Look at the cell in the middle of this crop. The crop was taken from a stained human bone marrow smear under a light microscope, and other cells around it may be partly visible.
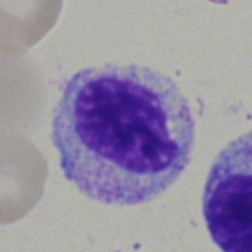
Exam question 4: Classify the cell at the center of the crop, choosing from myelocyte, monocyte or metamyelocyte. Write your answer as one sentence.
At the crop's centre, the cell is a myelocyte.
